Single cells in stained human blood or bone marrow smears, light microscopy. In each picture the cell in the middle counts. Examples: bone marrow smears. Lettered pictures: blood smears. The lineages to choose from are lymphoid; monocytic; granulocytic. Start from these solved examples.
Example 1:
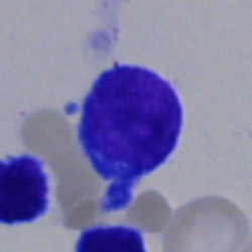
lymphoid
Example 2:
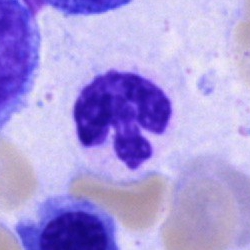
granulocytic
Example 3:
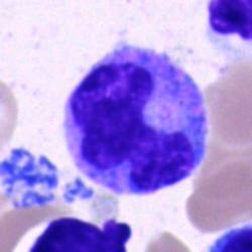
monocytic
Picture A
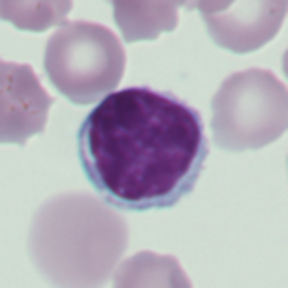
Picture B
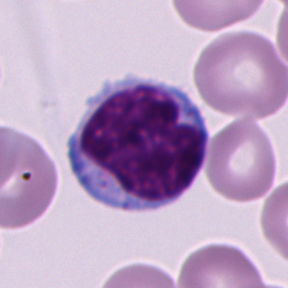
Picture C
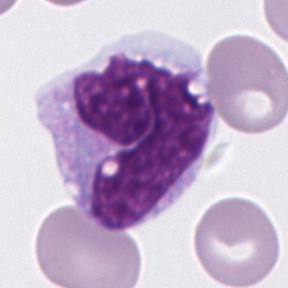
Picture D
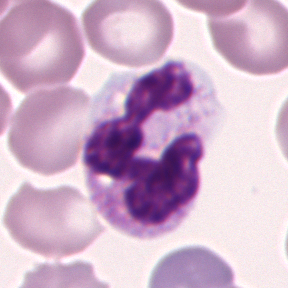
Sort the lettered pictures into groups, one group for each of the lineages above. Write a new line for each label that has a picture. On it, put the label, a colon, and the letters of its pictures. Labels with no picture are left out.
lymphoid: A, B
monocytic: C
granulocytic: D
